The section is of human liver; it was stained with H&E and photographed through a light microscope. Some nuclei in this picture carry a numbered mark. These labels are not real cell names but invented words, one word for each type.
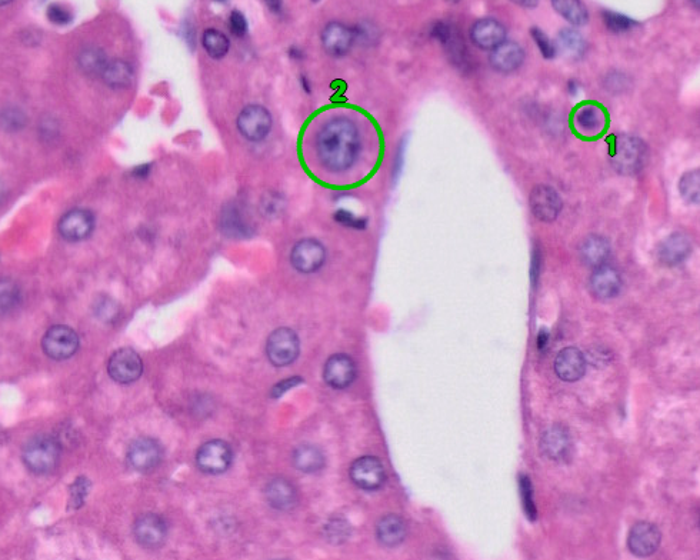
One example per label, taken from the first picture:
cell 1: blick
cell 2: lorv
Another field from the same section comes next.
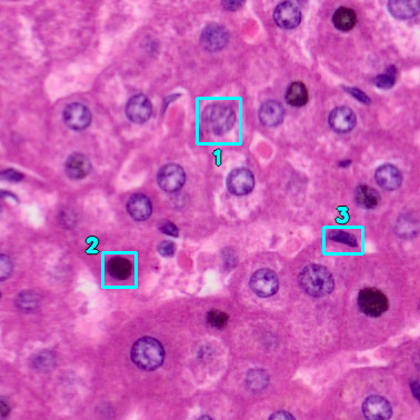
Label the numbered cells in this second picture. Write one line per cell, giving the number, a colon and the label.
1: lorv
2: lorv
3: blick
